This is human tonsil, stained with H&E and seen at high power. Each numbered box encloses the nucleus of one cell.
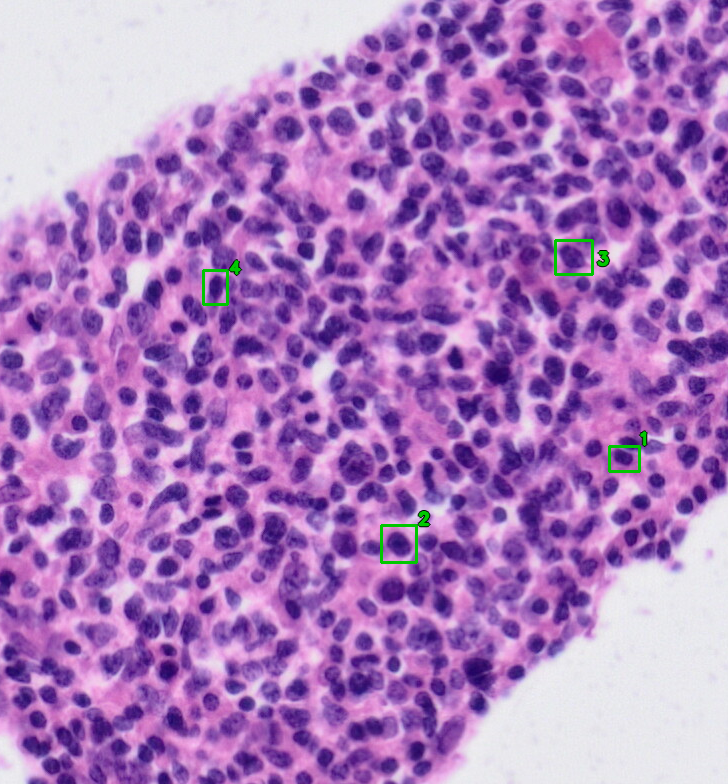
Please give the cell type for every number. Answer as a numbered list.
1. plasma cell
2. proliferating B cell
3. proliferating B cell
4. small lymphocyte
